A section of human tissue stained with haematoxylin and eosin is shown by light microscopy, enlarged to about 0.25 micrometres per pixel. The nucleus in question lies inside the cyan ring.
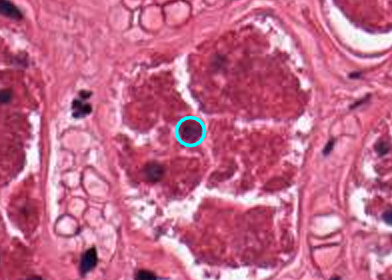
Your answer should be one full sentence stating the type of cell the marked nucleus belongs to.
The marked nucleus is one that belongs to a proximal tubule cell.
